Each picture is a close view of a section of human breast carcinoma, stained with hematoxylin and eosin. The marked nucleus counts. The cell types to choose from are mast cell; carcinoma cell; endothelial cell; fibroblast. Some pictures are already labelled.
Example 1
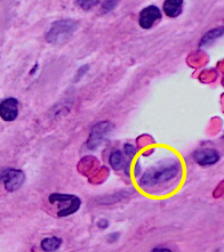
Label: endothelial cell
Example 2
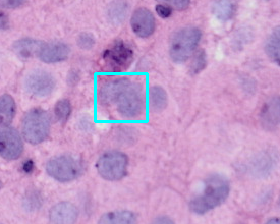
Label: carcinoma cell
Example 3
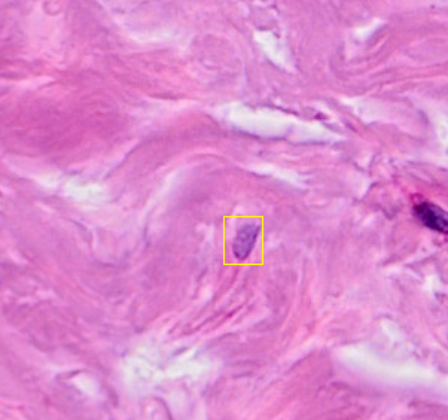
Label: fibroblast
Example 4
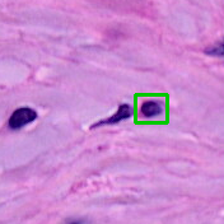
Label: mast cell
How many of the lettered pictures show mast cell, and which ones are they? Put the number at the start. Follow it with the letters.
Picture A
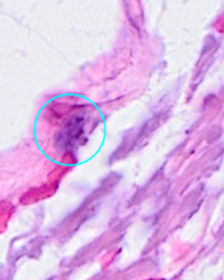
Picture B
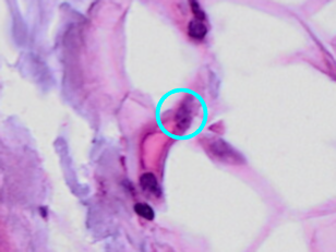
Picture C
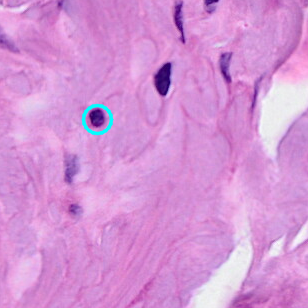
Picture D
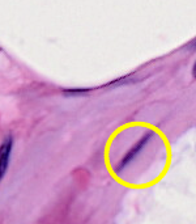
Count: 1 (C)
